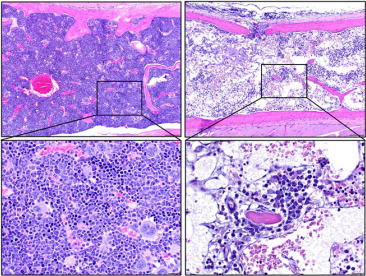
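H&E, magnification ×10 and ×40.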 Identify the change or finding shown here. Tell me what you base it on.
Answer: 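The marrow cavity on the right side is mostly pale and empty-looking. The marrow on the left side is densely filled with cells. That points to this answer: hypocellularity.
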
